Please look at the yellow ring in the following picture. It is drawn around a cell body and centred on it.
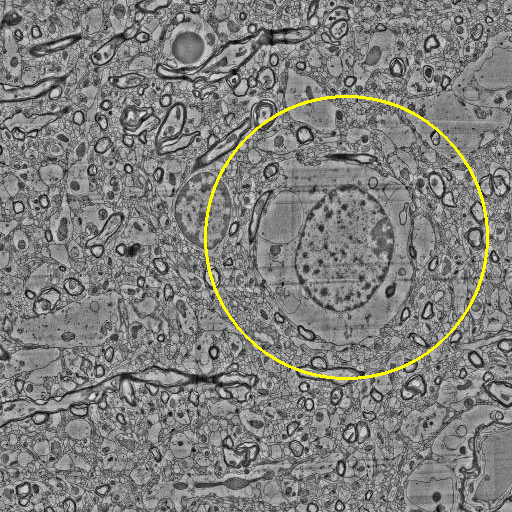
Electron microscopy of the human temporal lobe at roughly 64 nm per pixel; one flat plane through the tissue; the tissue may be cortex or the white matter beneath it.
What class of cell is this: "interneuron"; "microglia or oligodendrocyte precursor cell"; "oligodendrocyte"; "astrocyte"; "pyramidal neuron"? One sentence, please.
The ring surrounds the cell body of an astrocyte.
